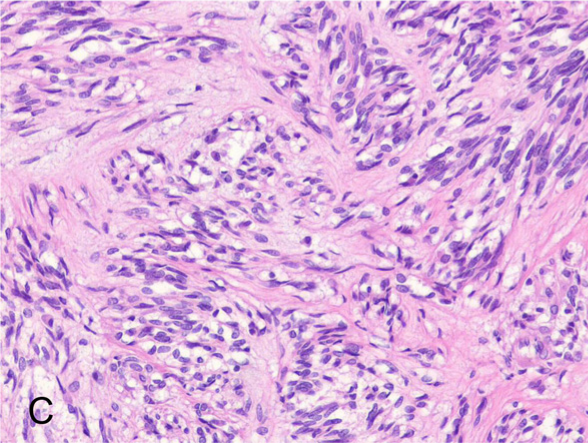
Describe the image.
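This is a tumor made of spindle-shaped cells, seen in a pink-and-purple stained section. The cells have elongated, oval to tapering purple nuclei and lie in short bundles that run in different directions, separated by bands of paler pink fibrous stroma. Many cells show clear, empty-looking vacuoles pressed right against the nucleus, giving parts of the field a bubbly appearance.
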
